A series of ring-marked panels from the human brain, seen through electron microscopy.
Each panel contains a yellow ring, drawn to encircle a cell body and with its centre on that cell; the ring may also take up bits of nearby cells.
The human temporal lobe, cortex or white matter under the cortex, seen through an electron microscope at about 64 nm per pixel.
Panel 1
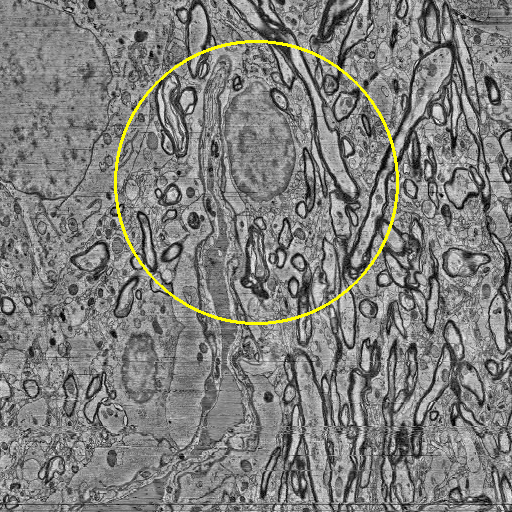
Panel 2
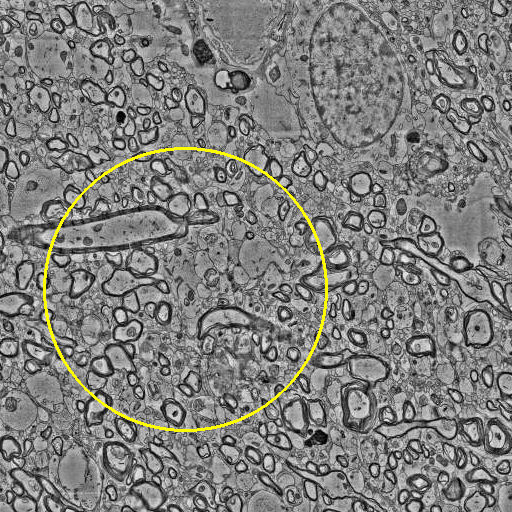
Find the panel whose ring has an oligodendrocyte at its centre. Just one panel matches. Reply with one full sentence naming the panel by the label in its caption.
The sought cell lies at the centre of the ring shown in Panel 1.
